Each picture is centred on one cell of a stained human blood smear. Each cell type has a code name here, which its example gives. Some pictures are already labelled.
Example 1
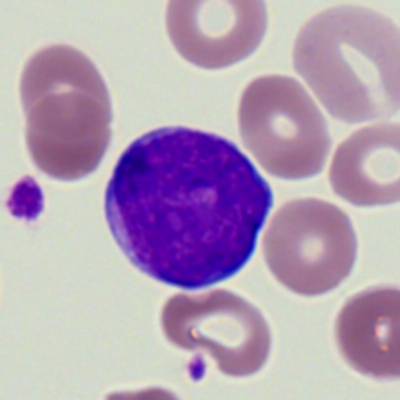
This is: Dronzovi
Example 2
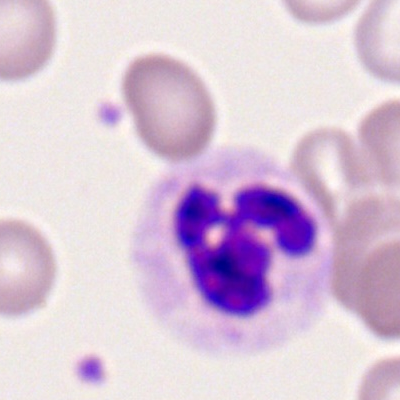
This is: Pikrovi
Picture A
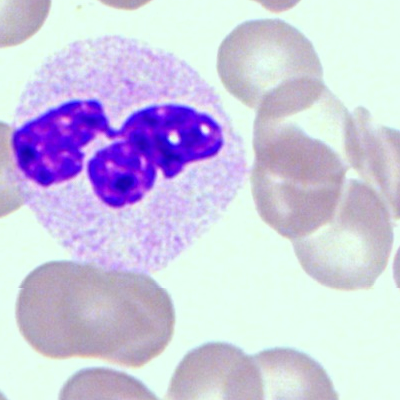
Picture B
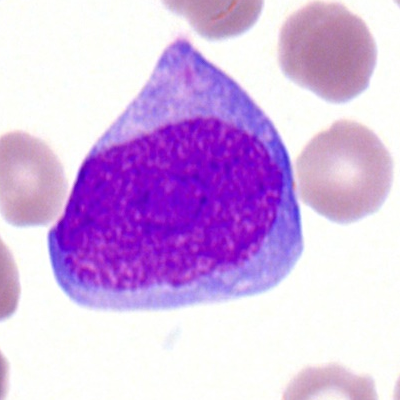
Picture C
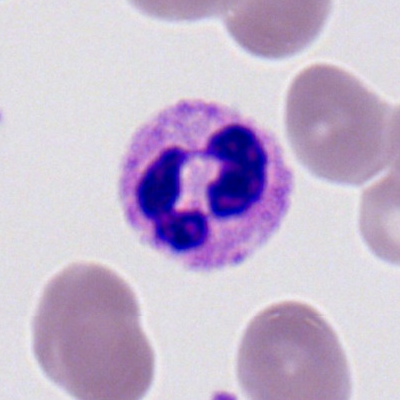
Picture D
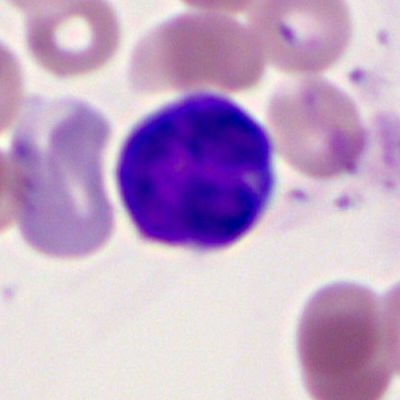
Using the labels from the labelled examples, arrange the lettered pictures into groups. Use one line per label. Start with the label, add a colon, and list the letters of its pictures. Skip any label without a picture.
Dronzovi: B, D
Pikrovi: A, C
